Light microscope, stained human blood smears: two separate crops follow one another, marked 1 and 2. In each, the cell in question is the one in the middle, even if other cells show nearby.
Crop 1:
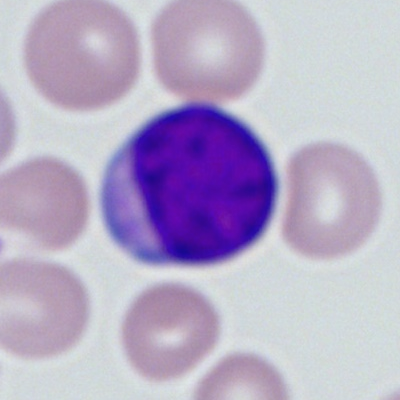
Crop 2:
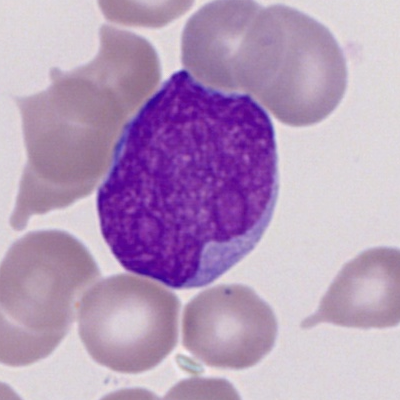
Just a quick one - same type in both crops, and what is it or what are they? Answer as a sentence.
Yes, both crops alike show myeloblasts at the centre.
